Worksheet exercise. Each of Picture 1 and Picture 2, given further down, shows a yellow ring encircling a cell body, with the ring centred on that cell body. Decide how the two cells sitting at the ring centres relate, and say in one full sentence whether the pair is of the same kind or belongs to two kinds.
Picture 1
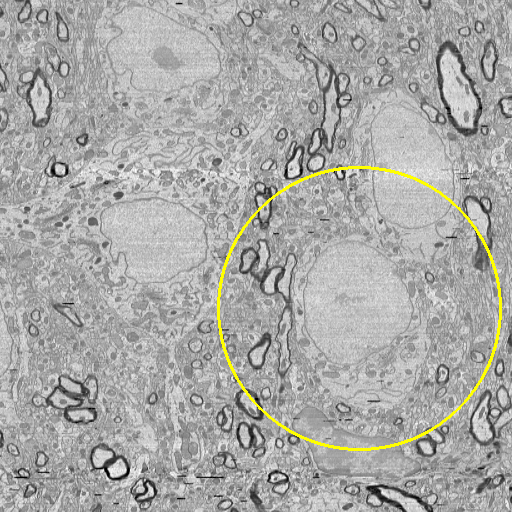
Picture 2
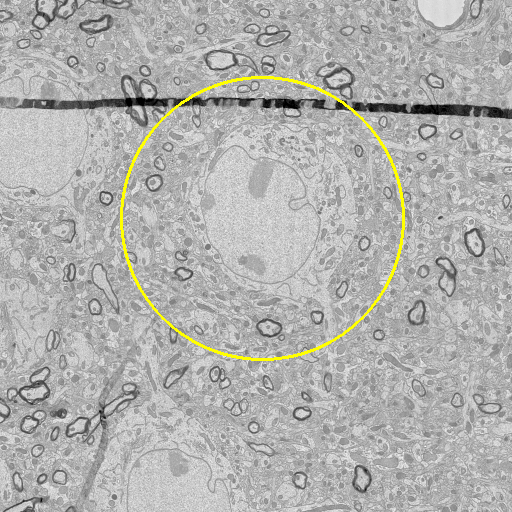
The cells at the ring centres in Picture 1 and Picture 2 are of the same kind.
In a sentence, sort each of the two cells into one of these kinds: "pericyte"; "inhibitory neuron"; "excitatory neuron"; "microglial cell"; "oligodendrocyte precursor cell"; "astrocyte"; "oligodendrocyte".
Each of the two cells is an excitatory neuron.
